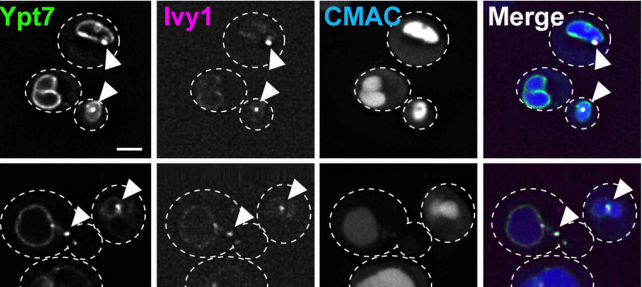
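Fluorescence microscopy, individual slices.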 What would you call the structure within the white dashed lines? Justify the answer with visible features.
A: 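Dashed oval lines enclose each round to oval cell. So: yeast cell boundaries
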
